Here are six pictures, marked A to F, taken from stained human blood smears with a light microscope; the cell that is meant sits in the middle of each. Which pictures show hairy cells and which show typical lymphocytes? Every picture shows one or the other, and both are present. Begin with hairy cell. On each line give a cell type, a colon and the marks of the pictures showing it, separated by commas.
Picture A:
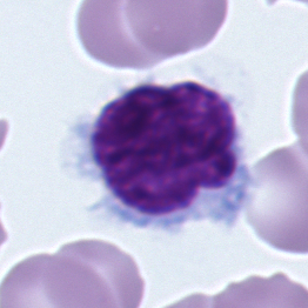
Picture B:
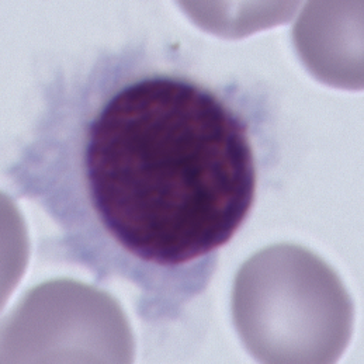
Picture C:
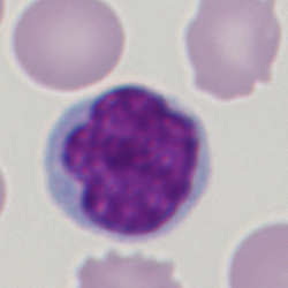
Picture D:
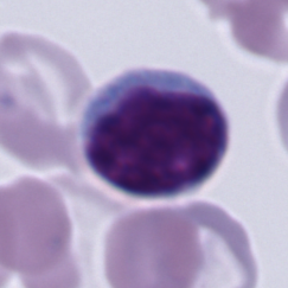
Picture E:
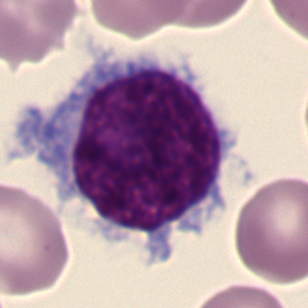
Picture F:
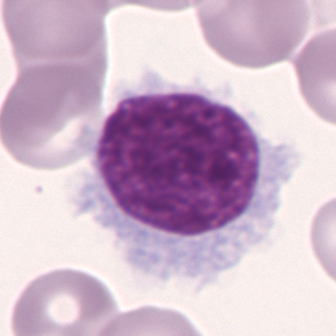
hairy cell: A, B, E, F
typical lymphocyte: C, D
